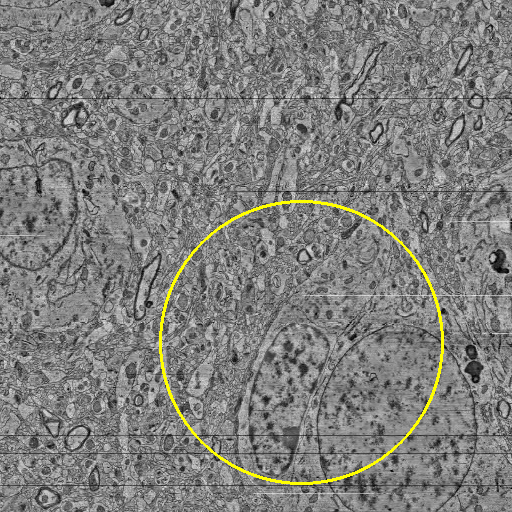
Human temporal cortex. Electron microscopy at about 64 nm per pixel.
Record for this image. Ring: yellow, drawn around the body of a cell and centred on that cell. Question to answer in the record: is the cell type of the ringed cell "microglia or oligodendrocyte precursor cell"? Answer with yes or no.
yes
